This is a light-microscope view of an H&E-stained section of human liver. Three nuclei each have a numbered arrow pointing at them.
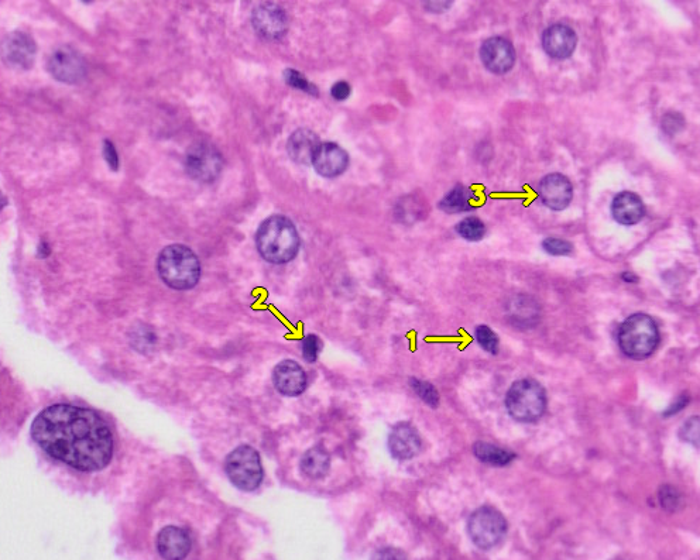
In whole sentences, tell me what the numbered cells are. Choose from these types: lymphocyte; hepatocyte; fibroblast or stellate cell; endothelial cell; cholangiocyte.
Cells 1 and 2 are lymphocytes. Cell 3 is a hepatocyte.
